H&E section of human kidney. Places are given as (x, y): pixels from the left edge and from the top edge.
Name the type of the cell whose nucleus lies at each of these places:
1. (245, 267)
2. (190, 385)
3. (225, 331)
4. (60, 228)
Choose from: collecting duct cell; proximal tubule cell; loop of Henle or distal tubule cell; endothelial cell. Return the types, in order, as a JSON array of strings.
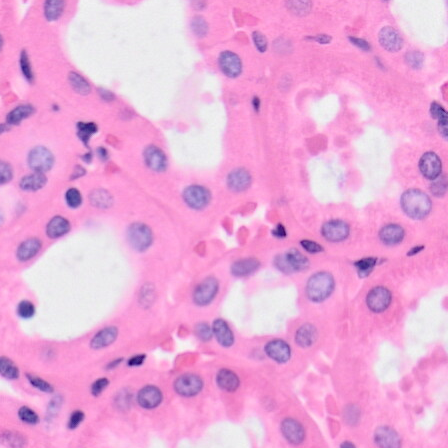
["collecting duct cell", "proximal tubule cell", "collecting duct cell", "loop of Henle or distal tubule cell"]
